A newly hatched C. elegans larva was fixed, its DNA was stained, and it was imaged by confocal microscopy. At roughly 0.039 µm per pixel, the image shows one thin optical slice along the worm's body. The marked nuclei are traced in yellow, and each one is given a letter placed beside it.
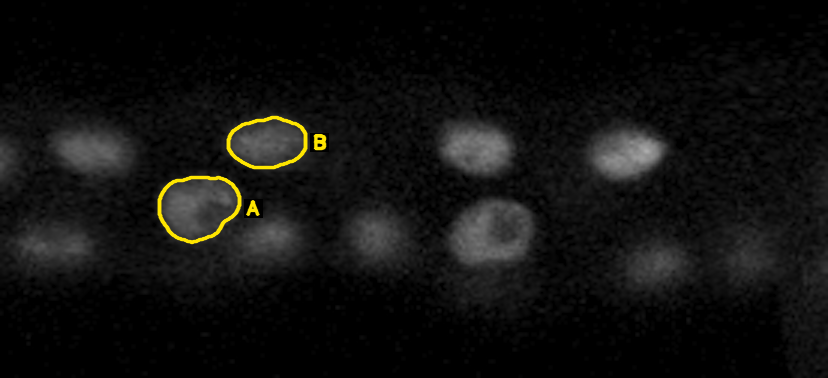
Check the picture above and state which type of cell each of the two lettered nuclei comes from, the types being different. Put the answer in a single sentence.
A belongs to a hypodermal cell (hyp) and B to a body wall muscle cell.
